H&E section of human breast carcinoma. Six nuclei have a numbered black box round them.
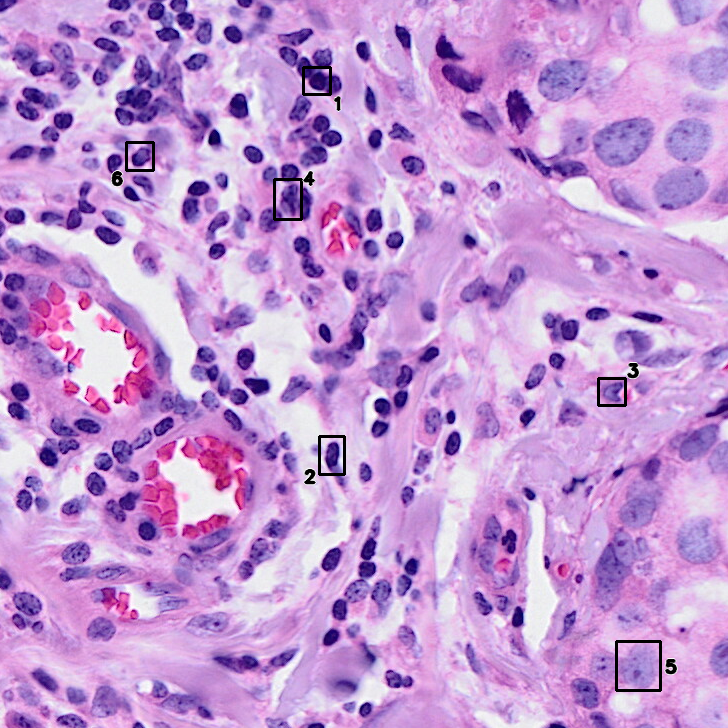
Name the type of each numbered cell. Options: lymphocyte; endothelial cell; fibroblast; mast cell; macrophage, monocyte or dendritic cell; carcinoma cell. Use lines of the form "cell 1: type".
cell 1: lymphocyte
cell 2: lymphocyte
cell 3: endothelial cell
cell 4: lymphocyte
cell 5: carcinoma cell
cell 6: lymphocyte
